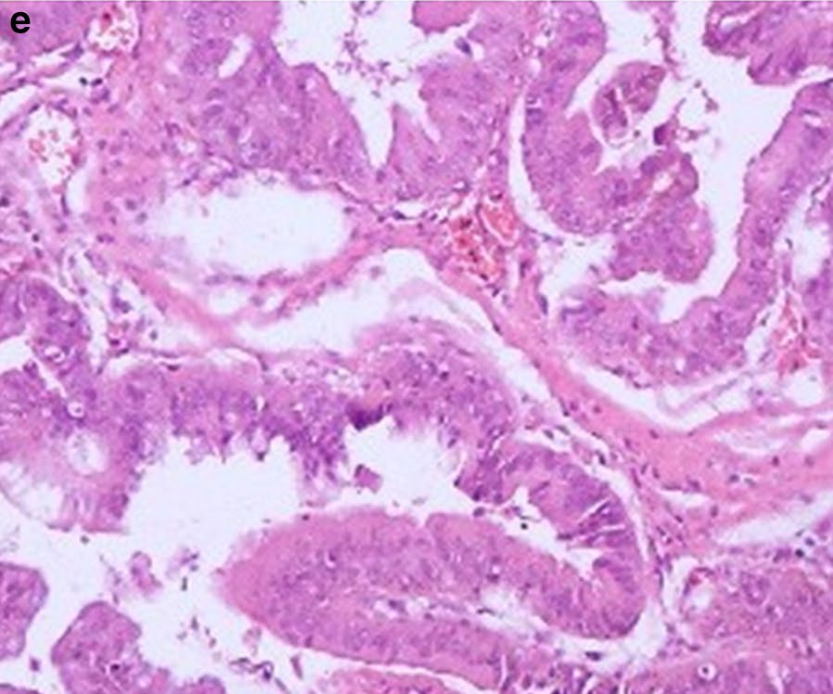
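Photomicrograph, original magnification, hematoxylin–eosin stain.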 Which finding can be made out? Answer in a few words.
Carcinoma.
